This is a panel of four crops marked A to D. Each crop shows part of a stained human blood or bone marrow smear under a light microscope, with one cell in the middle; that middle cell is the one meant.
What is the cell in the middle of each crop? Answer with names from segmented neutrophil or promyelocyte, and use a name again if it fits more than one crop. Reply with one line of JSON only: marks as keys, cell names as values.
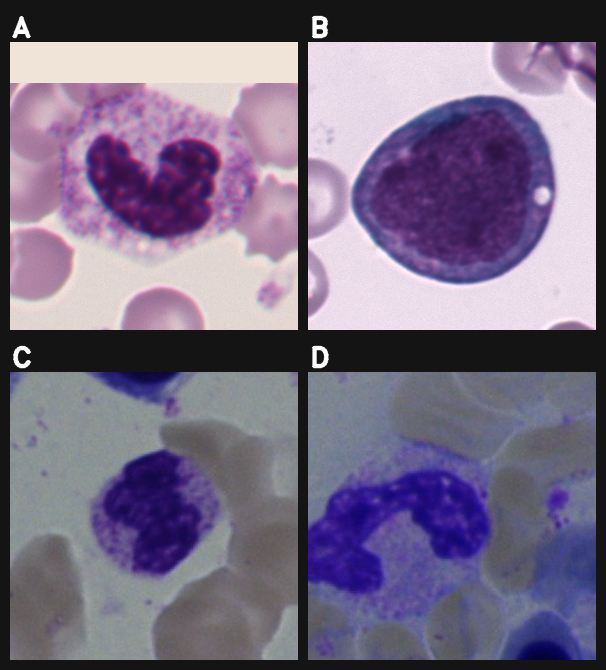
{"A": "segmented neutrophil", "B": "promyelocyte", "C": "segmented neutrophil", "D": "segmented neutrophil"}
